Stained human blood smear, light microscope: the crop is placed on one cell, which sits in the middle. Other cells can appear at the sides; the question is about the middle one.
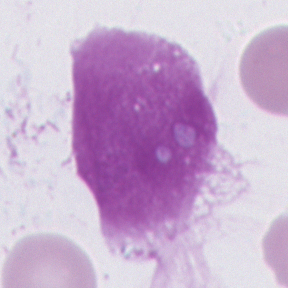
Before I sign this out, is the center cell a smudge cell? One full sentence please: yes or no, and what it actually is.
Yes, the cell lying in the centre of the crop is identified as a smudge cell.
